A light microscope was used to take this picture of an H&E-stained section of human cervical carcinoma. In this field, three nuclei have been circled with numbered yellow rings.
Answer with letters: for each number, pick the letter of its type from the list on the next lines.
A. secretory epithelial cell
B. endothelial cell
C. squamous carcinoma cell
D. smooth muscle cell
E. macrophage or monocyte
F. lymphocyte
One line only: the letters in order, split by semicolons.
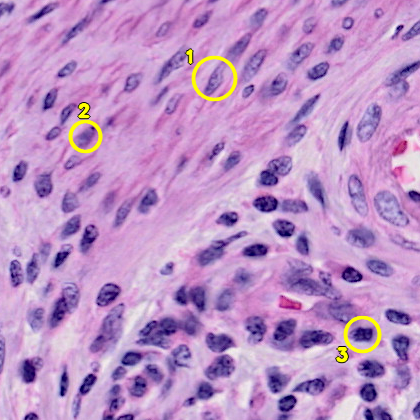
D; D; F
